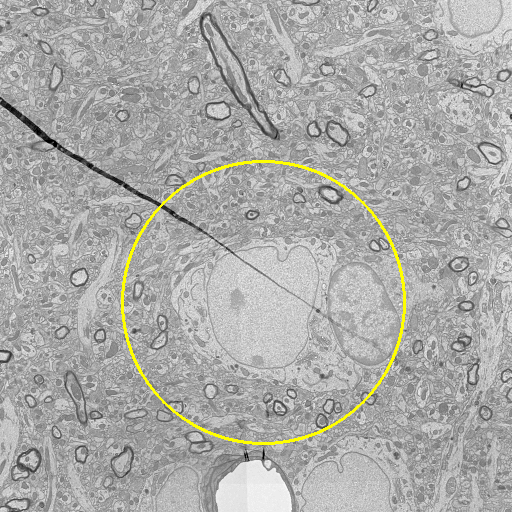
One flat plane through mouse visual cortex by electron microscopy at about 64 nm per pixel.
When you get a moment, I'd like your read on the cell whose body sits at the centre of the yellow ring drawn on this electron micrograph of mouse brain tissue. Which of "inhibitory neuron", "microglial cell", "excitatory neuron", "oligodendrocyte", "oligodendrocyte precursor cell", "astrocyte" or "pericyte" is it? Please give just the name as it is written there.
excitatory neuron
